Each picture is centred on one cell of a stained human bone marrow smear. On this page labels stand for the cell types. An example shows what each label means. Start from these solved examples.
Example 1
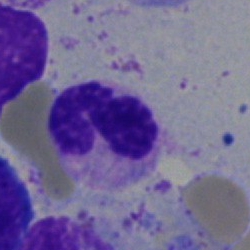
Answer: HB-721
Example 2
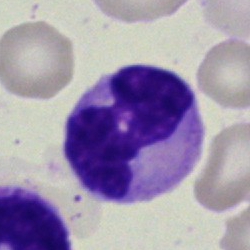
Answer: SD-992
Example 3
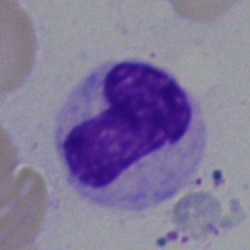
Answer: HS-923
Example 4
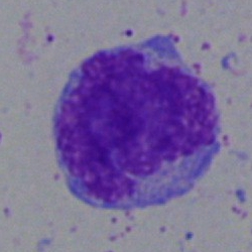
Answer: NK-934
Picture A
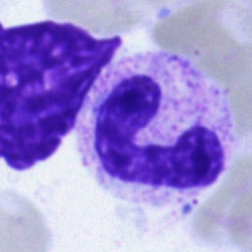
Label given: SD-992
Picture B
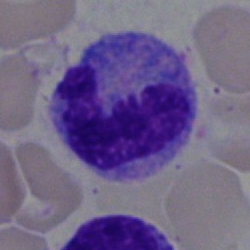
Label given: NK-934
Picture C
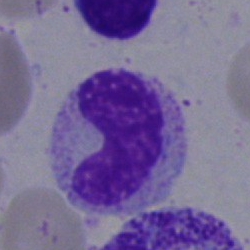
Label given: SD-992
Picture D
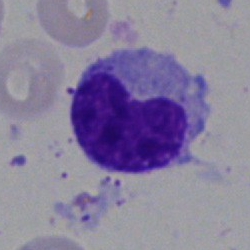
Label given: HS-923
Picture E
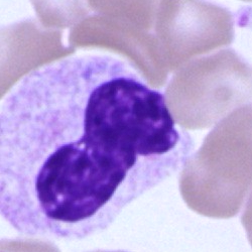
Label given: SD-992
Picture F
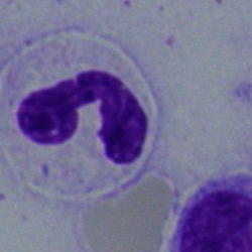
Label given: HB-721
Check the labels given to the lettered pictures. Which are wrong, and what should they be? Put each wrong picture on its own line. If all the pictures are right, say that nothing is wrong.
All labels are correct.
